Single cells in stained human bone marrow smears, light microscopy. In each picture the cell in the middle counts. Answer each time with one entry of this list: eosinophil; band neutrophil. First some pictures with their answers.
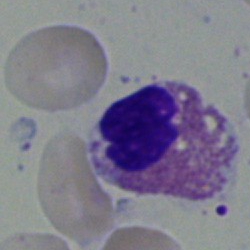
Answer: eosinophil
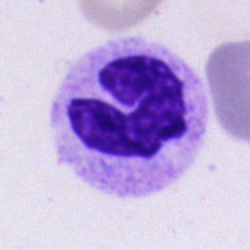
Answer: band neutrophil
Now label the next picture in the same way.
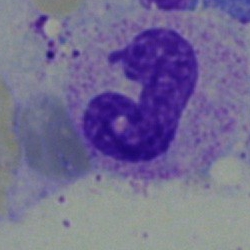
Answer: band neutrophil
